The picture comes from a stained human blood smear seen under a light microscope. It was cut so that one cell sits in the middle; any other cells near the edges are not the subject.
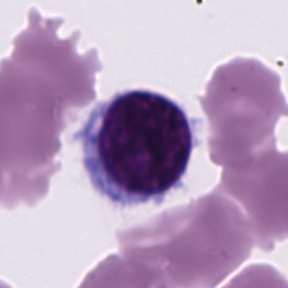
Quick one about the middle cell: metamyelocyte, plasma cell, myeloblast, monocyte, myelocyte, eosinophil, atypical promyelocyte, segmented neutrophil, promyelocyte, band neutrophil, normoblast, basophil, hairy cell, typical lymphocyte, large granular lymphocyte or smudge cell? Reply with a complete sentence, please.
The central cell shown in this smear crop is a hairy cell.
